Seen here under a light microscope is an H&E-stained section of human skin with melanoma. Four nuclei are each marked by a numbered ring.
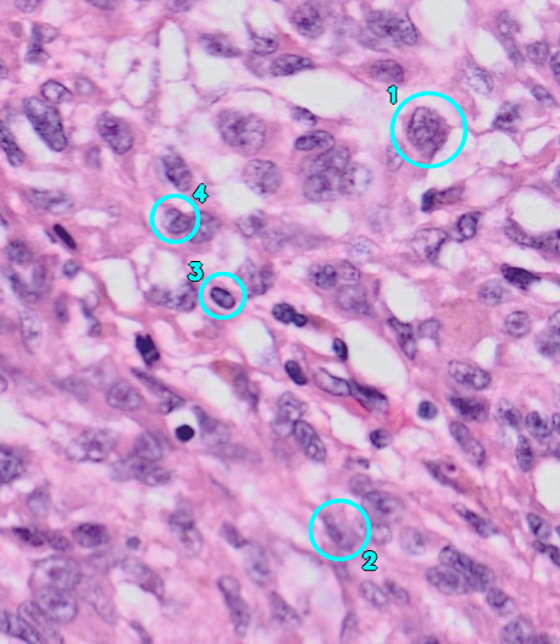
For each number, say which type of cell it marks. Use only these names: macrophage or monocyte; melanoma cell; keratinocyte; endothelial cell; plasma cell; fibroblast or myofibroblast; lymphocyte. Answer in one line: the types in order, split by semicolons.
melanoma cell; melanoma cell; lymphocyte; melanoma cell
